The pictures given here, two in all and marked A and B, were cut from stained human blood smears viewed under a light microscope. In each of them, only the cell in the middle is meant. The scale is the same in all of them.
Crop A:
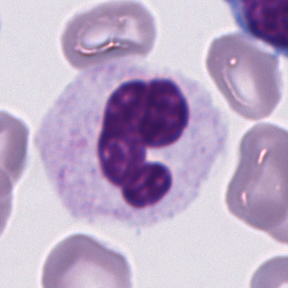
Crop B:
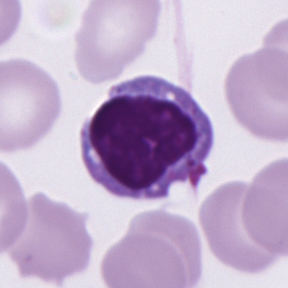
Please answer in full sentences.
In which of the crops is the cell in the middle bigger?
Larger is the cell in crop A, at roughly 2 times the area of the other.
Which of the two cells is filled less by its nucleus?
In crop A the nucleus takes up the smaller part of its cell.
